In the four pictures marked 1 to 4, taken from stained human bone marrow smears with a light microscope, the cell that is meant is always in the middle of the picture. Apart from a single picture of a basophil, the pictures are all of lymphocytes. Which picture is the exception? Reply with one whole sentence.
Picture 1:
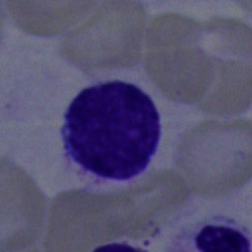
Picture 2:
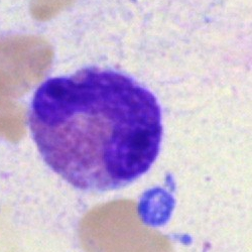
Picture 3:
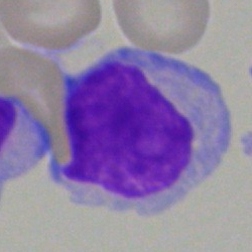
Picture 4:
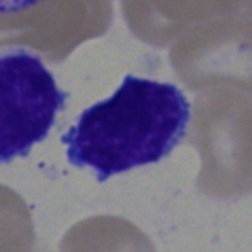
Picture 2 shows the basophil.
